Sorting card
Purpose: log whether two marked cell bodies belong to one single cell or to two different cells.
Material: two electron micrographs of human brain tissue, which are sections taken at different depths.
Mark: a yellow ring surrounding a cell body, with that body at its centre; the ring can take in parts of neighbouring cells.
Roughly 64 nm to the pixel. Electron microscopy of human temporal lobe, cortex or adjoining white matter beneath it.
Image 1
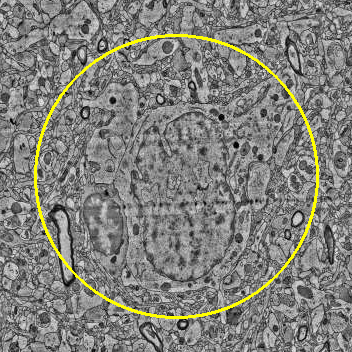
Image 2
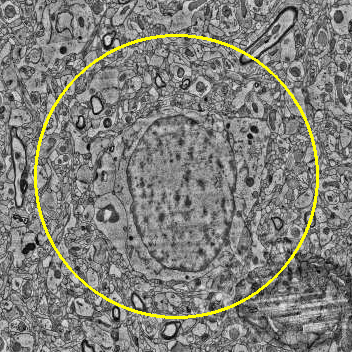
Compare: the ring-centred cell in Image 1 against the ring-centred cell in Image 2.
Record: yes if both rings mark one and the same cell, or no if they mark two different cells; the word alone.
yes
